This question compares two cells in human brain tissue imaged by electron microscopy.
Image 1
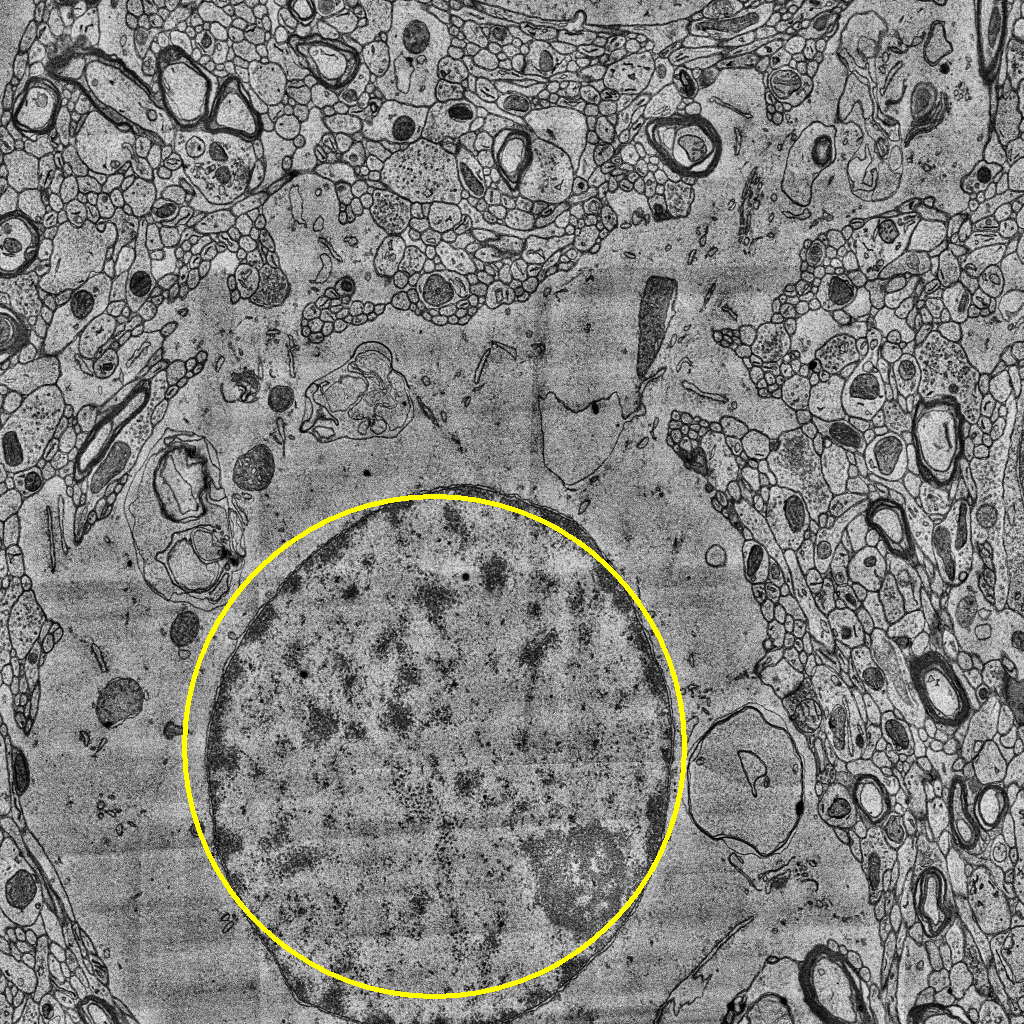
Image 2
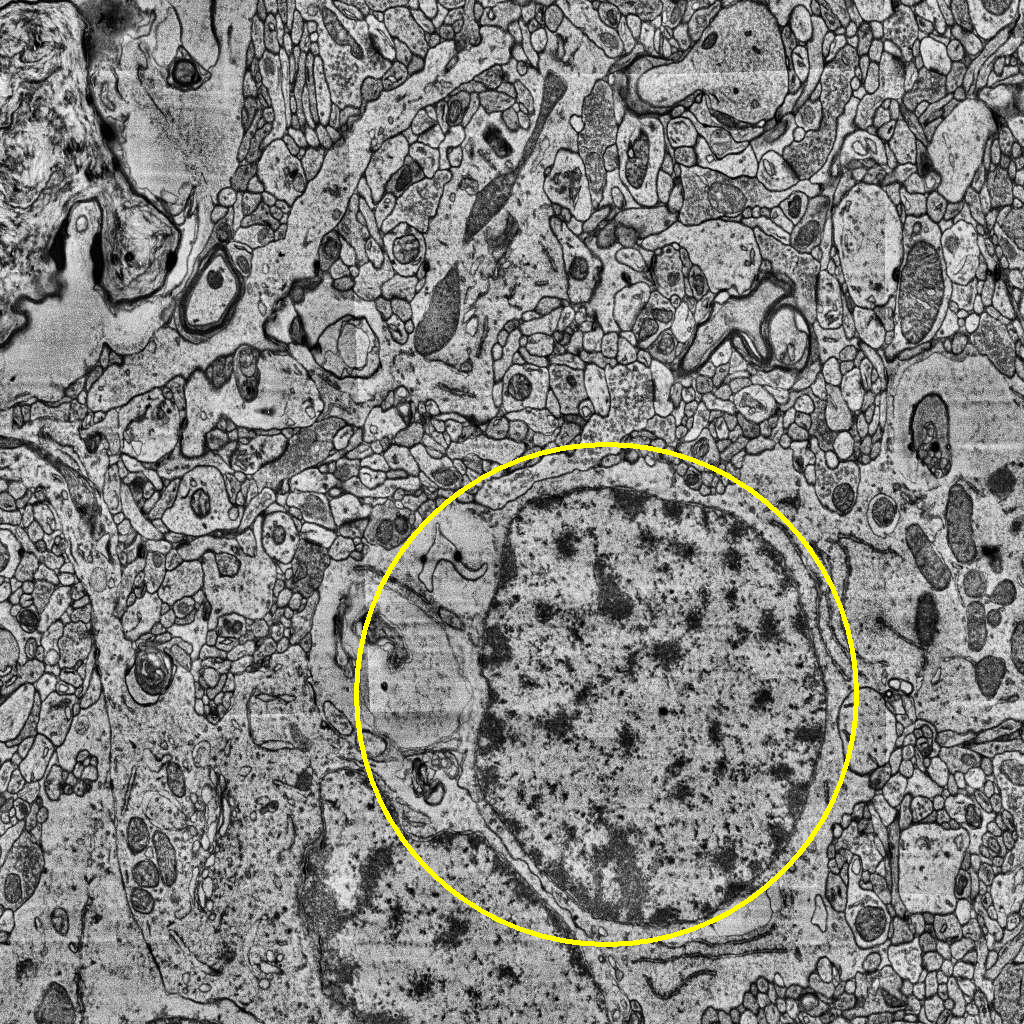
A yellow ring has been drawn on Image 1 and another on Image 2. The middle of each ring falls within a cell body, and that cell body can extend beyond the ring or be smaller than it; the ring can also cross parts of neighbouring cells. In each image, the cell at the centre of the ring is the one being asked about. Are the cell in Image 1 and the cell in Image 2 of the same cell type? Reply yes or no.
yes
